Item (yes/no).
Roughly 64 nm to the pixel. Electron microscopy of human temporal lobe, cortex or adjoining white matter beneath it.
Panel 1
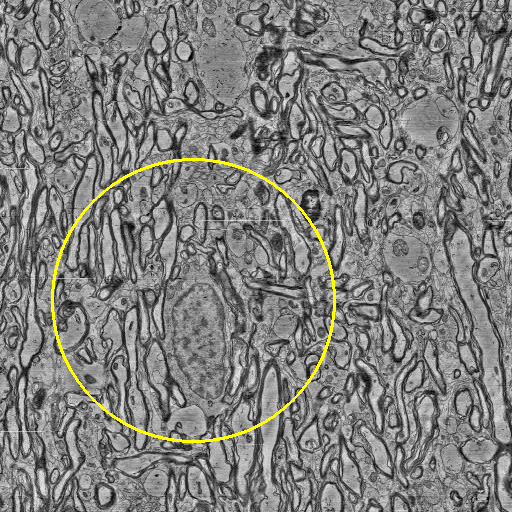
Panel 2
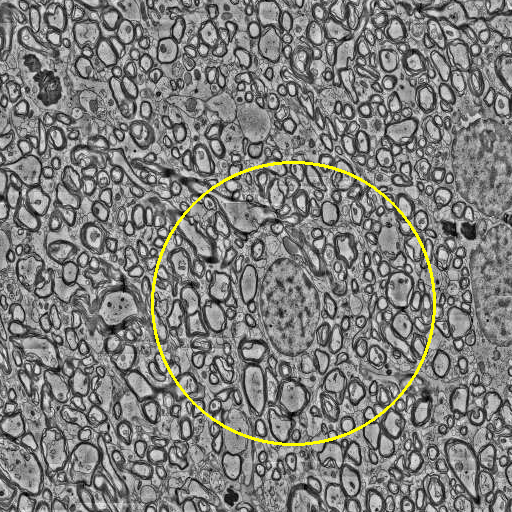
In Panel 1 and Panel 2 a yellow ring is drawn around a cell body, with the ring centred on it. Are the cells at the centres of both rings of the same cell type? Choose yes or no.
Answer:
no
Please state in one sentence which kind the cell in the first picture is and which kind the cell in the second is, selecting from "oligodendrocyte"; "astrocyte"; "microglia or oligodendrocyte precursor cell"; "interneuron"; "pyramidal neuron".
The first ringed cell is an oligodendrocyte, the second ringed cell a microglial cell or oligodendrocyte precursor cell.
